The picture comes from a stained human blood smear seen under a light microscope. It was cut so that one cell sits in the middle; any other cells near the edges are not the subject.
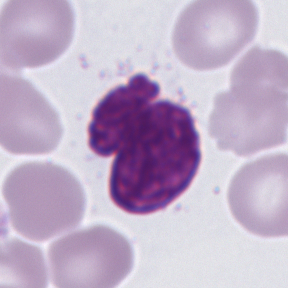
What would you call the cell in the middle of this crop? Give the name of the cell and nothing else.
smudge cell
